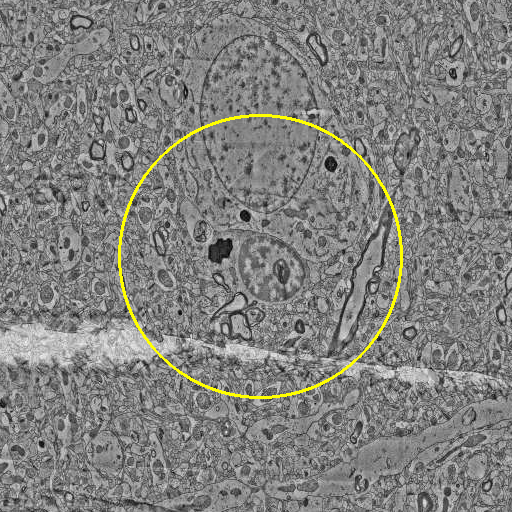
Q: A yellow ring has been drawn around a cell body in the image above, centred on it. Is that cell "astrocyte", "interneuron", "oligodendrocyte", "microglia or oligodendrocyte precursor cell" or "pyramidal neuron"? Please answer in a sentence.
The ring surrounds the cell body of an oligodendrocyte.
